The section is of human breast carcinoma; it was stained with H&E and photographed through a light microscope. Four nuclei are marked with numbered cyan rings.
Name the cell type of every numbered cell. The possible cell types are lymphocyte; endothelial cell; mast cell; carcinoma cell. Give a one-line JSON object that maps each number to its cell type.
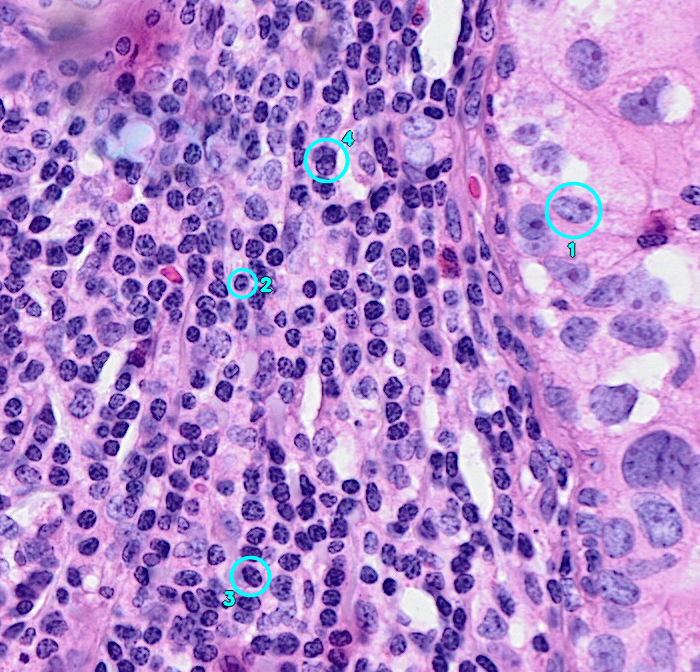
{"1": "carcinoma cell", "2": "lymphocyte", "3": "lymphocyte", "4": "lymphocyte"}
